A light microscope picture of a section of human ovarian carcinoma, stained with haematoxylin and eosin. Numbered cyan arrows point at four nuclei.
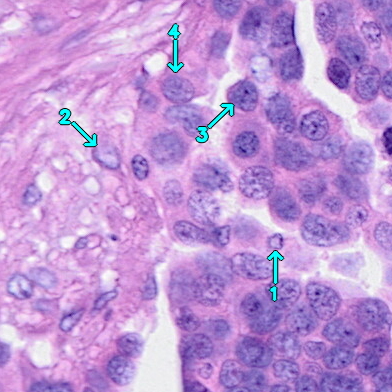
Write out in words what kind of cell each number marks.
Cell 1 is a macrophage or monocyte, cell 2 is a fibroblast, cell 3 is a carcinoma cell and cell 4 is a carcinoma cell.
